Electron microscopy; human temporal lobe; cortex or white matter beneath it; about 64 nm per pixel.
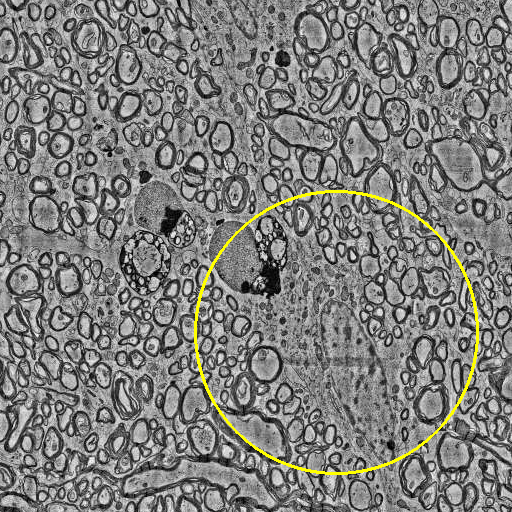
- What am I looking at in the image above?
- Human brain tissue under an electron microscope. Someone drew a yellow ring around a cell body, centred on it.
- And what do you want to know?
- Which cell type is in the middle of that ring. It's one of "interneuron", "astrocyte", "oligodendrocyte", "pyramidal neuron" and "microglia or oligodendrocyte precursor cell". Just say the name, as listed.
astrocyte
